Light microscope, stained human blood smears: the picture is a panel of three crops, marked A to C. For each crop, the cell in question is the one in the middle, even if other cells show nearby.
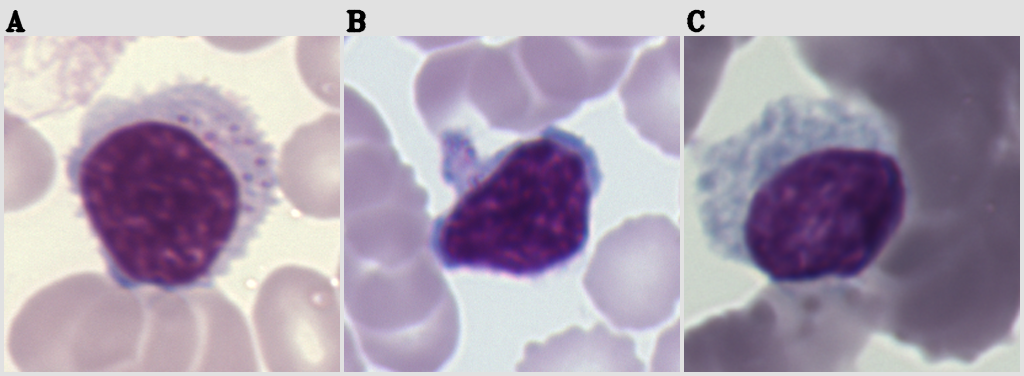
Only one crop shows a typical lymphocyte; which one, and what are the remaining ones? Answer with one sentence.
In this set, crop B shows a typical lymphocyte, whereas crop A is a large granular lymphocyte and crop C is a hairy cell.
